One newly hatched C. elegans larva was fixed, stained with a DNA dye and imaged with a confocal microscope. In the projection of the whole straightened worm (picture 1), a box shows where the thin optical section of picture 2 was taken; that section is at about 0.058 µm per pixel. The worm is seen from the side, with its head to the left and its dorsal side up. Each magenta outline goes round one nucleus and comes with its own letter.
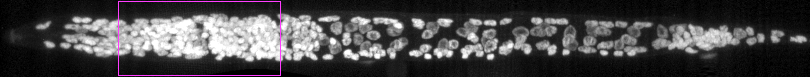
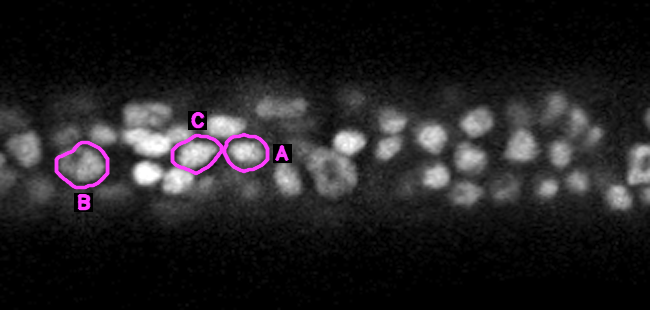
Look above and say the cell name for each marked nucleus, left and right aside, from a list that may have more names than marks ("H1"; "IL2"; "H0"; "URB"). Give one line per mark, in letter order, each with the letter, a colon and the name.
A: URB
B: H0
C: IL2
